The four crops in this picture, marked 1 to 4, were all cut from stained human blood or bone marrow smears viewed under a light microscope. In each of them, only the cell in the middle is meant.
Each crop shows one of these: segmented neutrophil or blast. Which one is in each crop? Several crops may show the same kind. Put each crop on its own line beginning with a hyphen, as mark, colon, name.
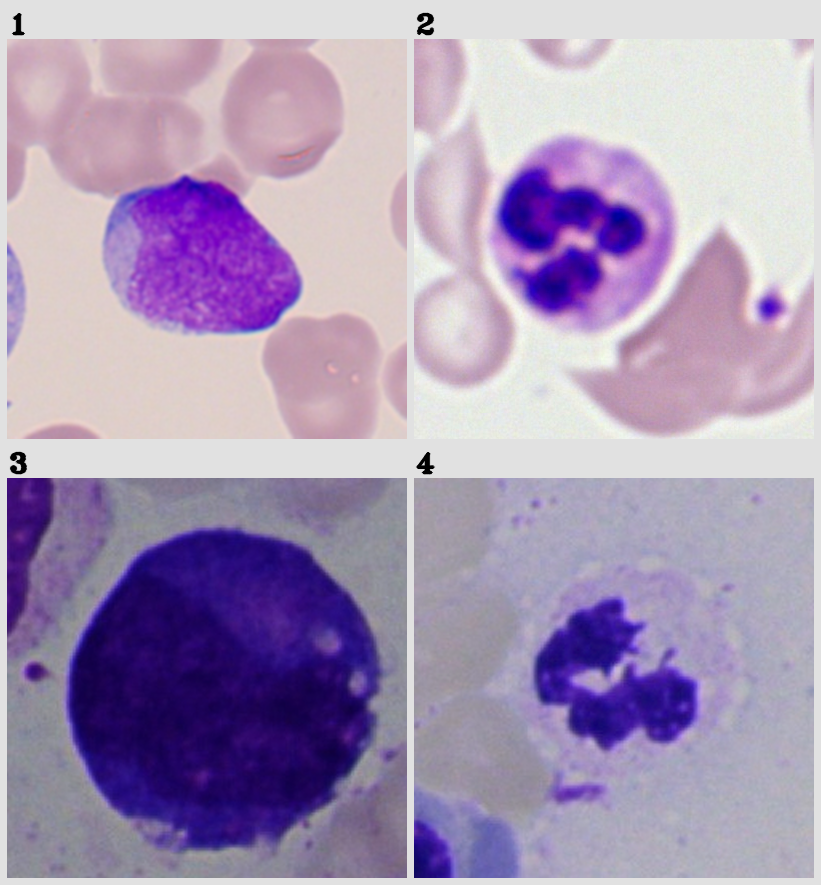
- 1: blast
- 2: segmented neutrophil
- 3: blast
- 4: segmented neutrophil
